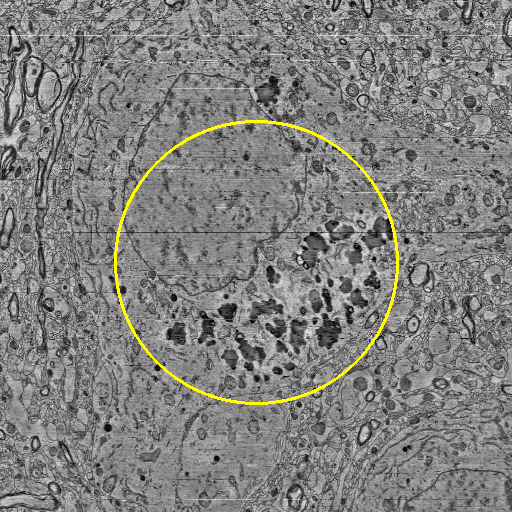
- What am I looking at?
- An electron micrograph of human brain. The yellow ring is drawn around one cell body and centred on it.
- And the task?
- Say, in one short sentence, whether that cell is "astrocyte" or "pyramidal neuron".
The cell in the middle of the ring is a pyramidal neuron.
